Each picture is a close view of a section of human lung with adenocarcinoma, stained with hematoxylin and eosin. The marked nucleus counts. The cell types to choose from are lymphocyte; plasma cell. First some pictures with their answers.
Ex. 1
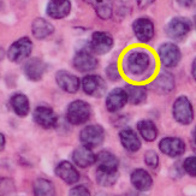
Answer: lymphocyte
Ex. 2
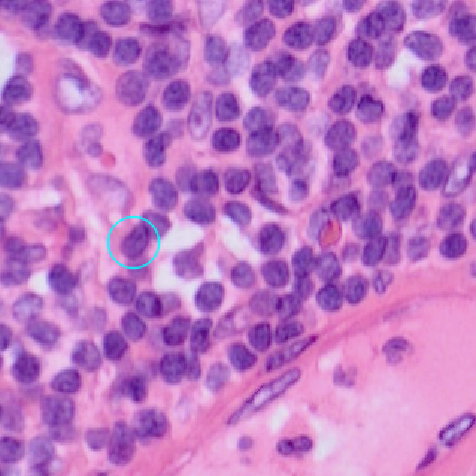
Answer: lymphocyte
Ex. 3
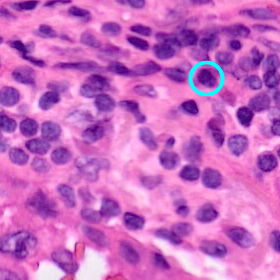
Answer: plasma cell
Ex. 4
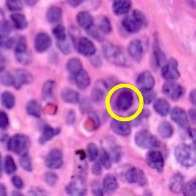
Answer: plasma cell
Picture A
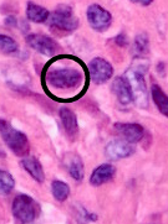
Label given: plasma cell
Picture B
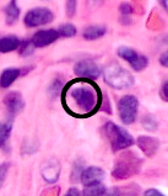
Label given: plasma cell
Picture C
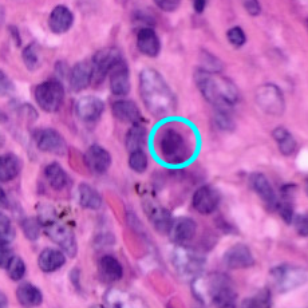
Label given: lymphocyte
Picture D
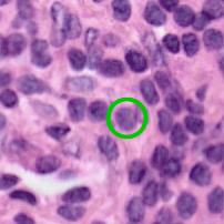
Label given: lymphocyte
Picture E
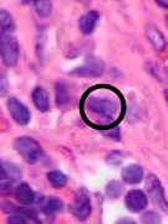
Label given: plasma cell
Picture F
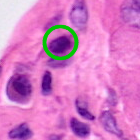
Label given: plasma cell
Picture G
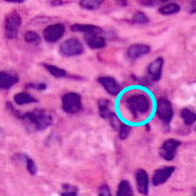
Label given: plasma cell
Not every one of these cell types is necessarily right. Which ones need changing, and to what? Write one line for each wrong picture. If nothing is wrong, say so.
C: not lymphocyte but plasma cell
